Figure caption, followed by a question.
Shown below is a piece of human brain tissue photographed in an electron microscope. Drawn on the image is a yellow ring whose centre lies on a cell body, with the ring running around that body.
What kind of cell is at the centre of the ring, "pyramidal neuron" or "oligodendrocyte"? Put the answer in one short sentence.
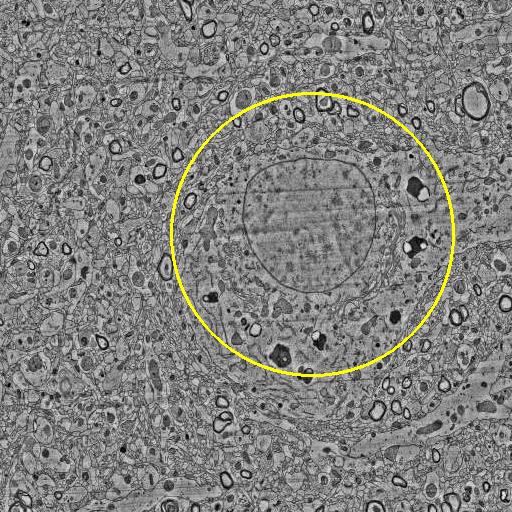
The ring marks the cell body of a pyramidal neuron.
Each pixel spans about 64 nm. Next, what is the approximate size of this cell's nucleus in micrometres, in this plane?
In this plane the nucleus measures roughly 9 micrometres across.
